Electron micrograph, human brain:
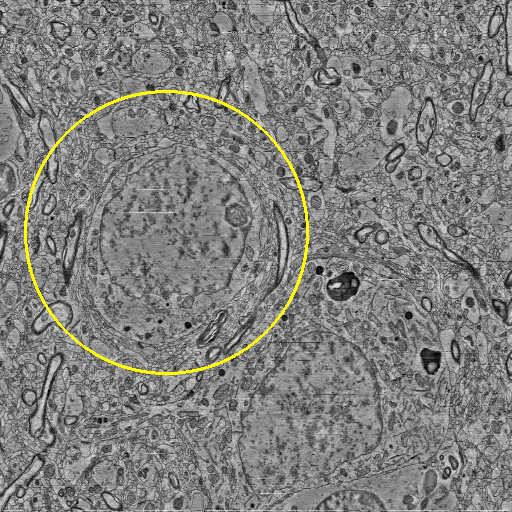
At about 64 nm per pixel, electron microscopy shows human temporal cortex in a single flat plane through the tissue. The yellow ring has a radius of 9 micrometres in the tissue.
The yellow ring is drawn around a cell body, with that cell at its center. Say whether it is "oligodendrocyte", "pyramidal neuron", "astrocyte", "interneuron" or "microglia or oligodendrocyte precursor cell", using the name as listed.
pyramidal neuron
